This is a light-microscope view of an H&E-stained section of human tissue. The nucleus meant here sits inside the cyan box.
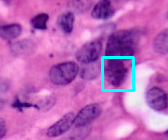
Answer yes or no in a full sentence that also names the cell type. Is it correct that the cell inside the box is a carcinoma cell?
Yes, correct on this one: the cell inside the box is a carcinoma cell.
